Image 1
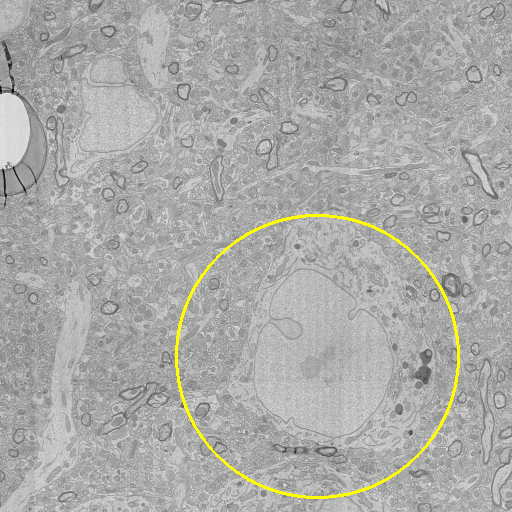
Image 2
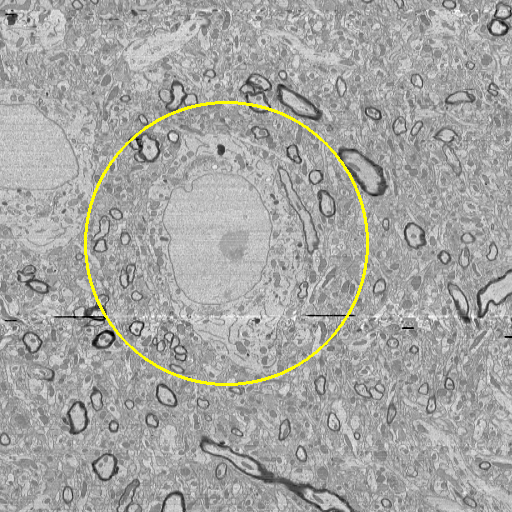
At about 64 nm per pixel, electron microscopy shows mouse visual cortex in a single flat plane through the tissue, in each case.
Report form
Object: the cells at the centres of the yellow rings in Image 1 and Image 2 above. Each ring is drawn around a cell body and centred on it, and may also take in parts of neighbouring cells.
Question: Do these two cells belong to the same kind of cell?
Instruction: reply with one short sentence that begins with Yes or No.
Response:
Yes, both belong to the same kind of cell.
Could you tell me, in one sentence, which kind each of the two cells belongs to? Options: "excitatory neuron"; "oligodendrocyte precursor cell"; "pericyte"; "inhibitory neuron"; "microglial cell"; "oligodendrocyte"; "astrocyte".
In the first picture and in the second, the ring is centred on an excitatory neuron.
